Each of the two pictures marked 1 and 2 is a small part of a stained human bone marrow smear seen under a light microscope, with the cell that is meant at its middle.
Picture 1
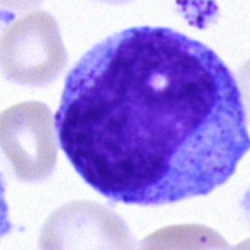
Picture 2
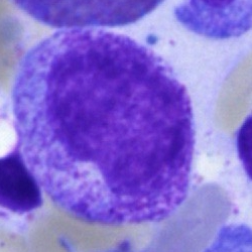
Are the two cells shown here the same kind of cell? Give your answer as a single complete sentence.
Yes; the cells in both pictures are promyelocytes.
